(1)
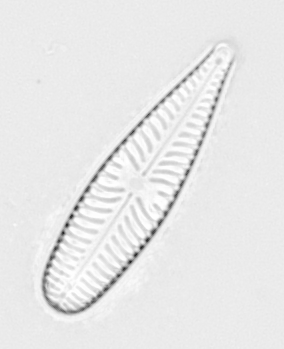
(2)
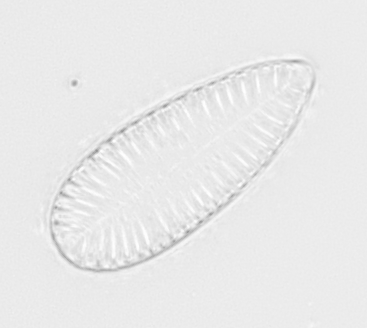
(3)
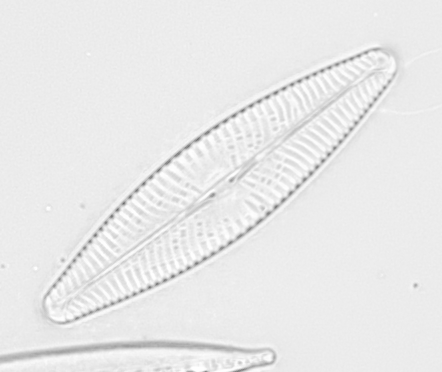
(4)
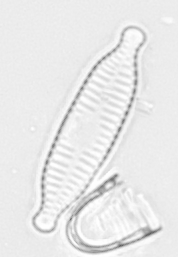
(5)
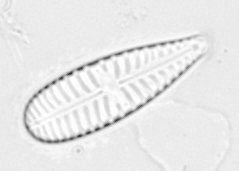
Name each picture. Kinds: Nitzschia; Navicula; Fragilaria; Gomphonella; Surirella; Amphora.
1. Gomphonella
2. Surirella
3. Navicula
4. Fragilaria
5. Gomphonella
